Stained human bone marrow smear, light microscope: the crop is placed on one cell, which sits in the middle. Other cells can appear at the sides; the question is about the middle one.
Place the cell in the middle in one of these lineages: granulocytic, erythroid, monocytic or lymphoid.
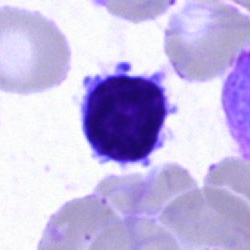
lymphoid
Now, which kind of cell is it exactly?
lymphocyte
